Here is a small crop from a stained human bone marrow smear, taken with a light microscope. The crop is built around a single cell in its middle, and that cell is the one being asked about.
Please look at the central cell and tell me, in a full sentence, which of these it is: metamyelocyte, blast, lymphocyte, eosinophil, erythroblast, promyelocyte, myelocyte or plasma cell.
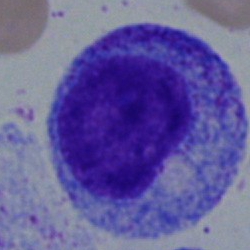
The crop's centre is taken up by a promyelocyte.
